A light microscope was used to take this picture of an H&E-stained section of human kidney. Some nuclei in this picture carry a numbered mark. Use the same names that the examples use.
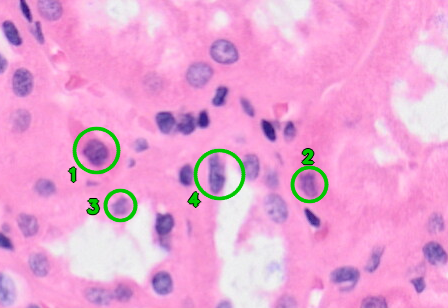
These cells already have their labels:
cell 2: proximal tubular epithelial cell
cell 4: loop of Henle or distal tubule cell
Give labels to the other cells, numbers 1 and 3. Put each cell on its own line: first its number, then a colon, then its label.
1: proximal tubular epithelial cell
3: loop of Henle or distal tubule cell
